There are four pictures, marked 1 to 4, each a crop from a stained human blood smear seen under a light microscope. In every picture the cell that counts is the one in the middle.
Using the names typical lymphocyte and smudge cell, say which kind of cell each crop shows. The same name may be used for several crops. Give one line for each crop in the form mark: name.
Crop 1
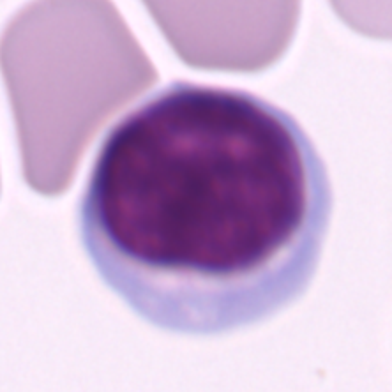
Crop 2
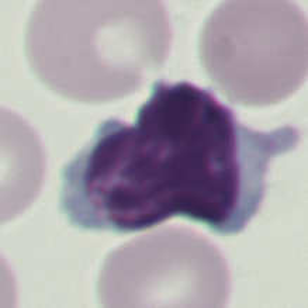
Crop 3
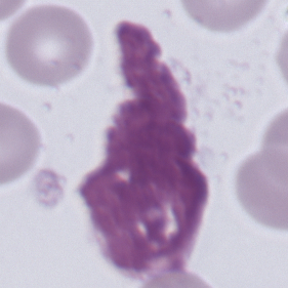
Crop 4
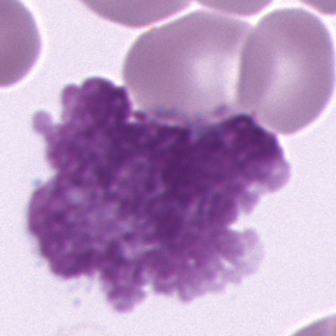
1: typical lymphocyte
2: typical lymphocyte
3: smudge cell
4: smudge cell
